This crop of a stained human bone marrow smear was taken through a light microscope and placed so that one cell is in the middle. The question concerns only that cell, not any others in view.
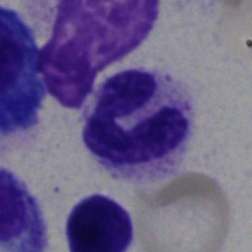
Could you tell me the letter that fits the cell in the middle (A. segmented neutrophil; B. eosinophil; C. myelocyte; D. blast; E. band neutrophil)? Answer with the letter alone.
A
